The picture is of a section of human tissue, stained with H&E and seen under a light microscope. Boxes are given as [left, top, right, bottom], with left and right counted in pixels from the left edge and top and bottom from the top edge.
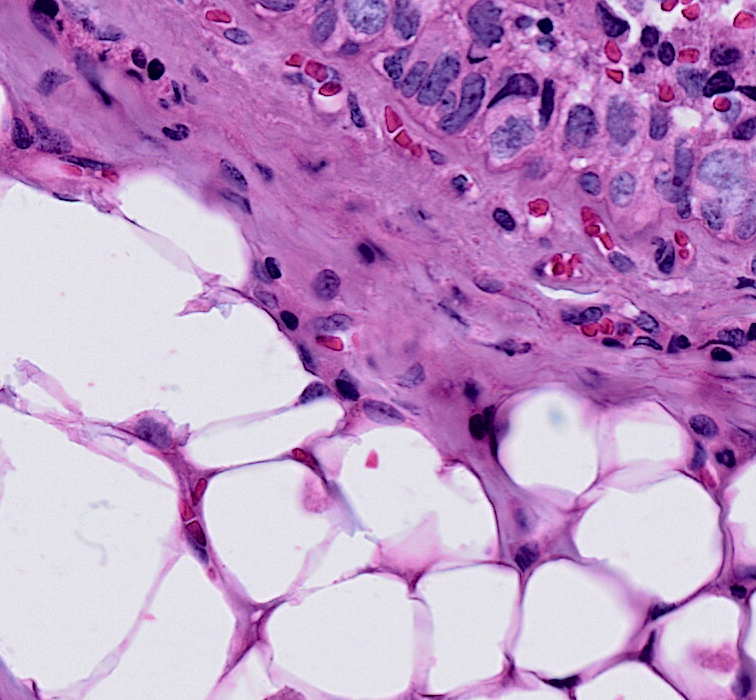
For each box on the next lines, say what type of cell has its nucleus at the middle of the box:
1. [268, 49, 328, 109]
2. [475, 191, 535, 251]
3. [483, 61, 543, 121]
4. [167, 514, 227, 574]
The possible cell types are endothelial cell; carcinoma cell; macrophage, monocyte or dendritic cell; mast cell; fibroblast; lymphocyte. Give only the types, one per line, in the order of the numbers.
endothelial cell
mast cell
carcinoma cell
endothelial cell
